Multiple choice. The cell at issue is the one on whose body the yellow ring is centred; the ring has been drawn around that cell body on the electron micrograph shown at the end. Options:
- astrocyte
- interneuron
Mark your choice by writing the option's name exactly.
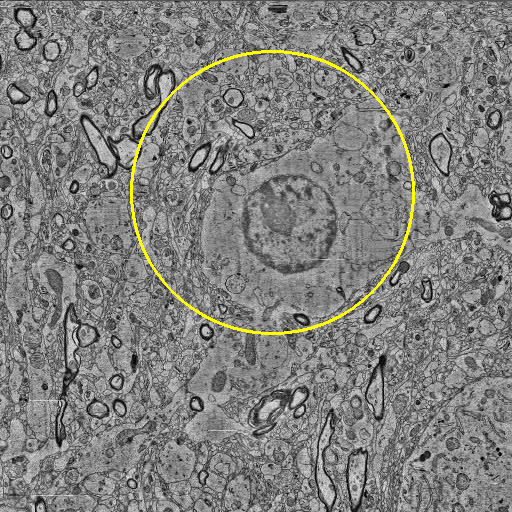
astrocyte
